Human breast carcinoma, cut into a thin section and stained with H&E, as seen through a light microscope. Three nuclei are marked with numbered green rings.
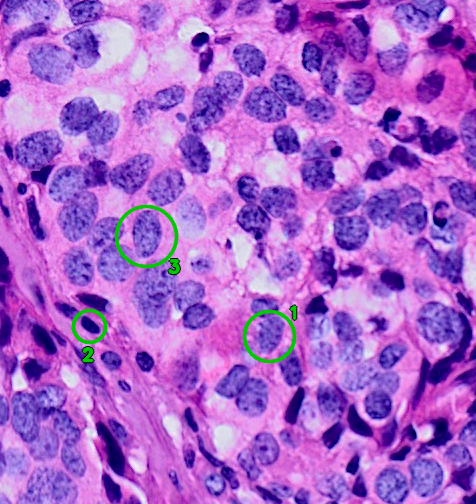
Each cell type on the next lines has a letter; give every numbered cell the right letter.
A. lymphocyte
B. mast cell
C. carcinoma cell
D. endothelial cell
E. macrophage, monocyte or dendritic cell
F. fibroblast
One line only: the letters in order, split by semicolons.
C; A; C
